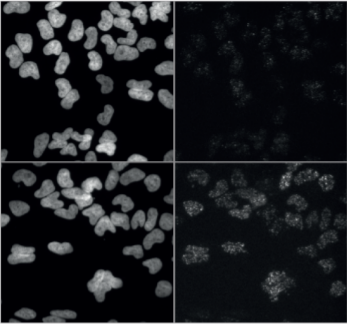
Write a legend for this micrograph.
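In the nuclear channel they appear grey with fairly even staining, and some nuclei are brighter and more compact than others. In the upper row the second channel shows only faint, sparse dots scattered over the nuclei. In the lower row many nuclei carry numerous bright, small, punctate foci spread through the nucleus.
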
